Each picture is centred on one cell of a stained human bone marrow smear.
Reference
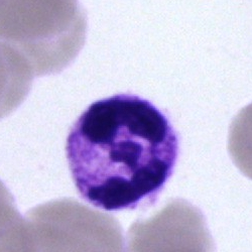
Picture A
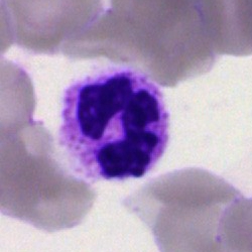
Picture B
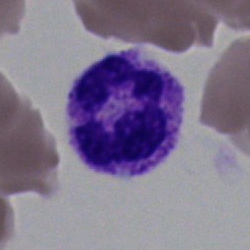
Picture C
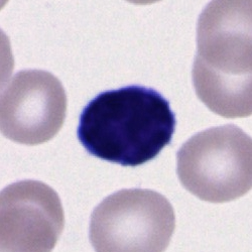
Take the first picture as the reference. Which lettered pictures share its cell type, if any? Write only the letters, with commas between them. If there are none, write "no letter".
A, B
